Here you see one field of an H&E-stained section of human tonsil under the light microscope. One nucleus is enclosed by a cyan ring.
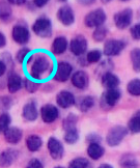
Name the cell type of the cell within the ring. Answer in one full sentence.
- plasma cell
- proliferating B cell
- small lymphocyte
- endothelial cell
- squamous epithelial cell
Labelled by cell type, the cell within the ring is a small lymphocyte.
